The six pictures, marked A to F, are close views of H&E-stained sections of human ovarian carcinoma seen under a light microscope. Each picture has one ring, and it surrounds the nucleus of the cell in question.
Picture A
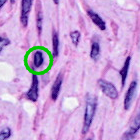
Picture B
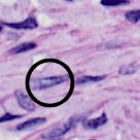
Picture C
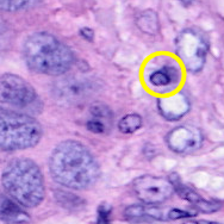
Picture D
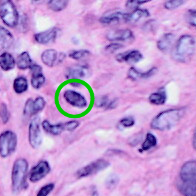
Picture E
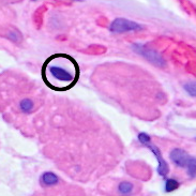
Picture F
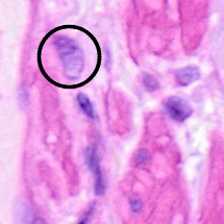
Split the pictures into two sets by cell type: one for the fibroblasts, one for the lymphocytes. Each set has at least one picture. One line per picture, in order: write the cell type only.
lymphocyte
fibroblast
lymphocyte
lymphocyte
lymphocyte
fibroblast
